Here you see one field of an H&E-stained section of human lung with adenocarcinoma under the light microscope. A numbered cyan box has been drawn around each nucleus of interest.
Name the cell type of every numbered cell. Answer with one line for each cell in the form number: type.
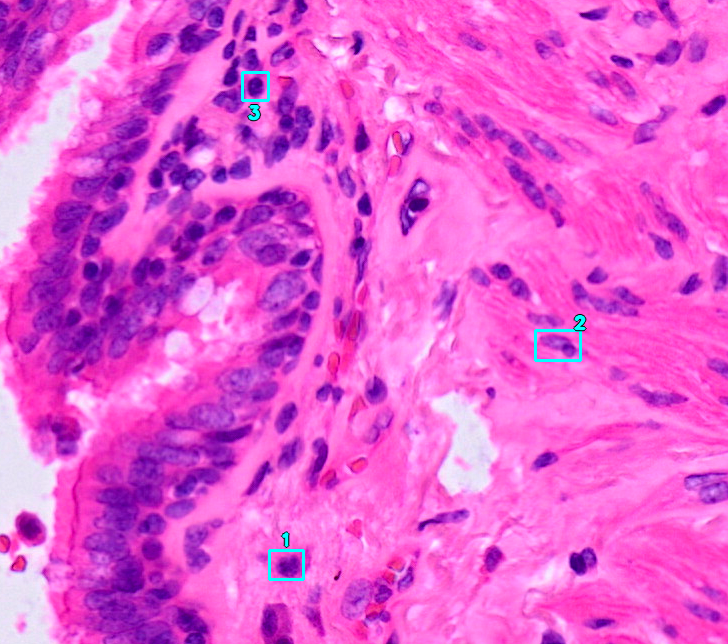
1: plasma cell
2: smooth muscle cell or pericyte
3: lymphocyte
